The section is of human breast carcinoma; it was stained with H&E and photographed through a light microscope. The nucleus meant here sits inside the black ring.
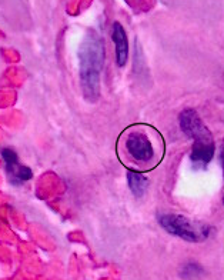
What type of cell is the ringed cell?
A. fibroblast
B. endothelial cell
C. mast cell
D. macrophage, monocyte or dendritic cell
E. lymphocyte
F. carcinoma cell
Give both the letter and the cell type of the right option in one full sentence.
In agreement with option C, the ringed cell is a mast cell.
